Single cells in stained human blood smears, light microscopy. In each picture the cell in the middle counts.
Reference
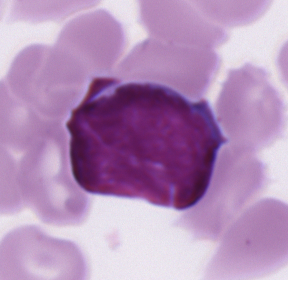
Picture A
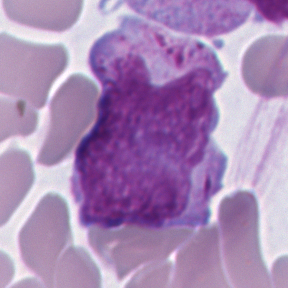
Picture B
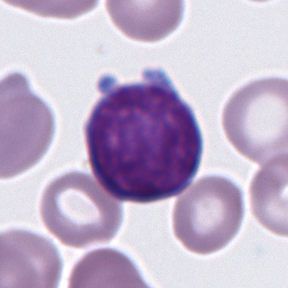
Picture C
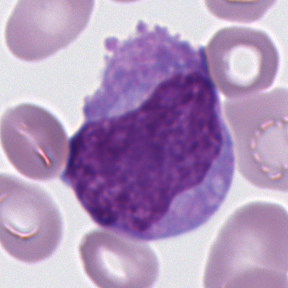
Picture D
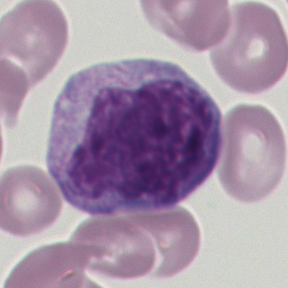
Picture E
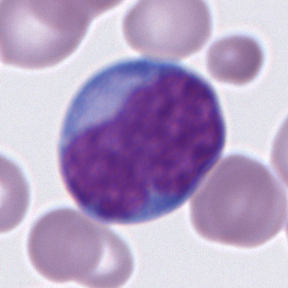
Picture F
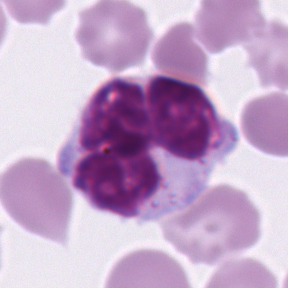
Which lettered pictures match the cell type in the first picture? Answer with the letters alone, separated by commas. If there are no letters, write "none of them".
B, E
